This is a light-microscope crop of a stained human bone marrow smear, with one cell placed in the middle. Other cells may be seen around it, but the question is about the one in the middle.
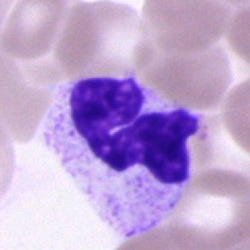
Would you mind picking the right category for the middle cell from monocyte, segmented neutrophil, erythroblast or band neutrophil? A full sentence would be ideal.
In this smear crop, the middle cell is a segmented neutrophil.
